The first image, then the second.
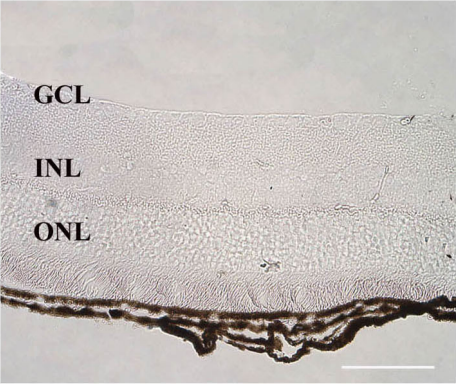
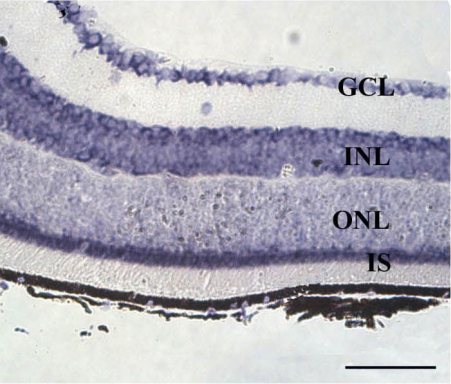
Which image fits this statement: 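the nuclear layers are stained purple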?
The second image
